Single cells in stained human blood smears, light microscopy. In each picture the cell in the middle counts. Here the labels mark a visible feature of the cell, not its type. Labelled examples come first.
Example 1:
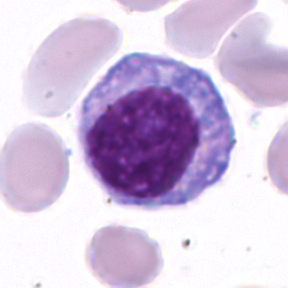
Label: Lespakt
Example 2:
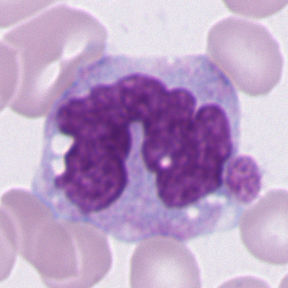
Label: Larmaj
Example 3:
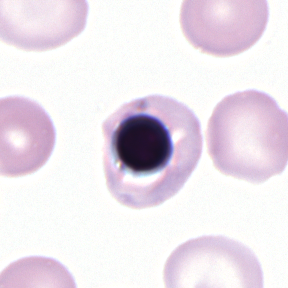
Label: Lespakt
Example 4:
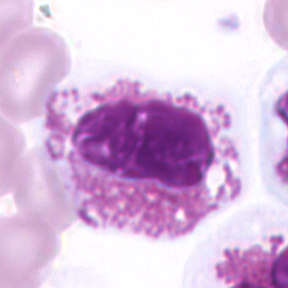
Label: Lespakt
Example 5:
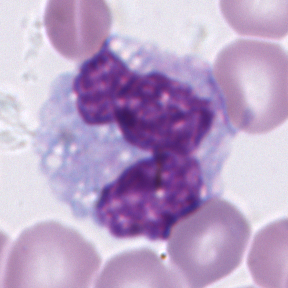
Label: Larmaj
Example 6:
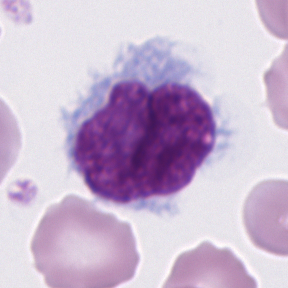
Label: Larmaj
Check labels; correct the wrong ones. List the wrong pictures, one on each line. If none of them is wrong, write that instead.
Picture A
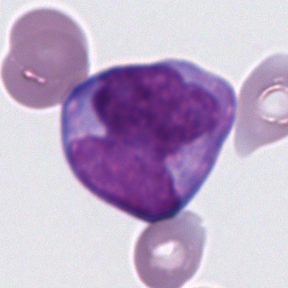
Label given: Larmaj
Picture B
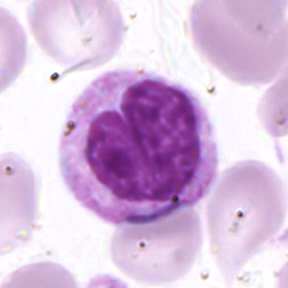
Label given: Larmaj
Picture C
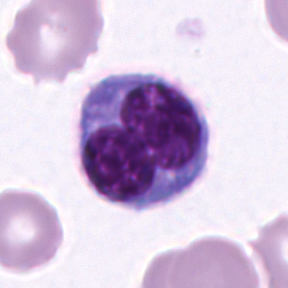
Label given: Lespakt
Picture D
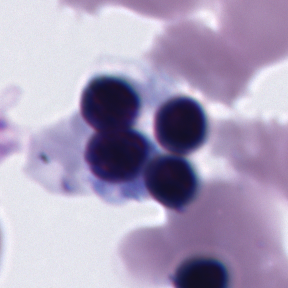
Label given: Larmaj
B should be Lespakt, not Larmaj
C should be Larmaj, not Lespakt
